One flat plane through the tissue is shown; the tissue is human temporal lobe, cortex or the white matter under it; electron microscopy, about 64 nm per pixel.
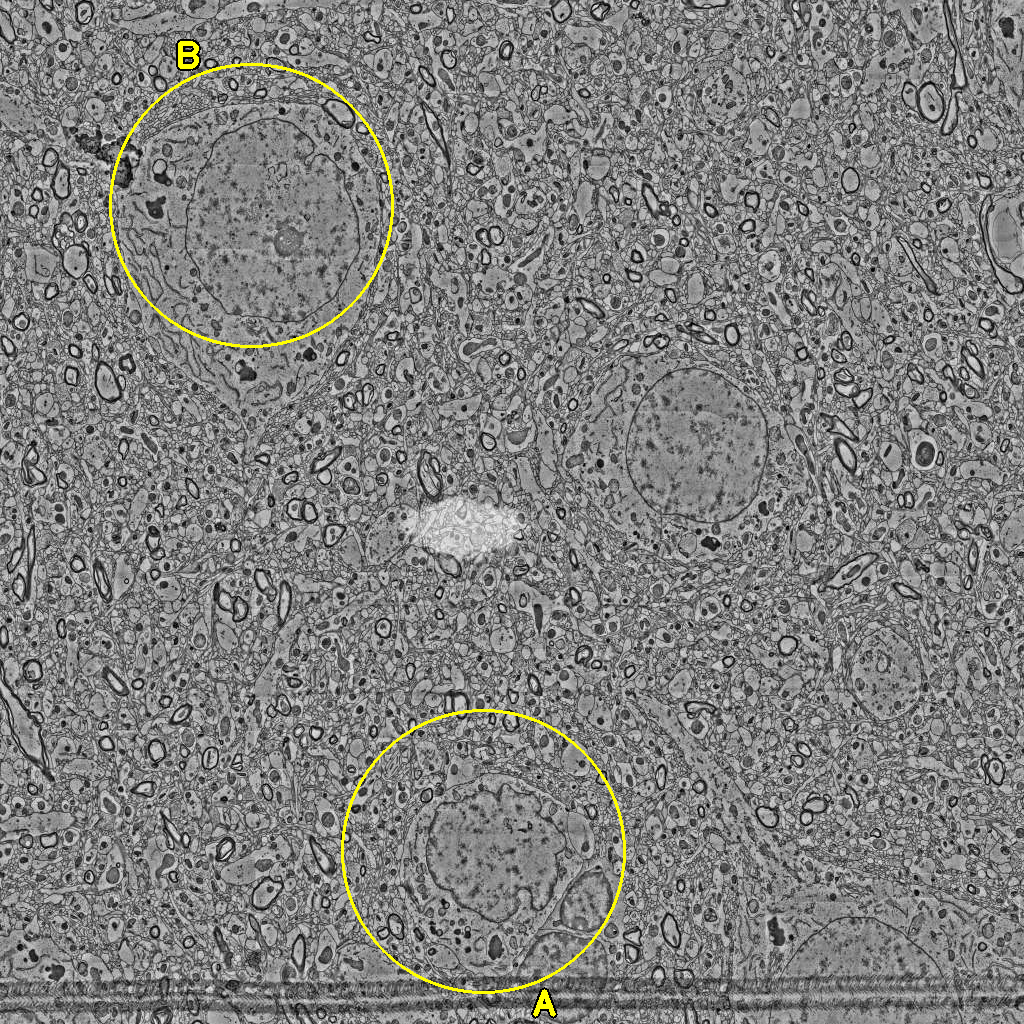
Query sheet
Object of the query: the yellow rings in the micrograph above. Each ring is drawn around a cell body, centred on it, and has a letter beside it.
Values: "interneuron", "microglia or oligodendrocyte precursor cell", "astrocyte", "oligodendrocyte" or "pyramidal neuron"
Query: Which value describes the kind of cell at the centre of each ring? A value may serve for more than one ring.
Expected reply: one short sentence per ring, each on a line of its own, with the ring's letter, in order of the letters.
I assign an interneuron to ring A.
I assign a pyramidal neuron to ring B.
